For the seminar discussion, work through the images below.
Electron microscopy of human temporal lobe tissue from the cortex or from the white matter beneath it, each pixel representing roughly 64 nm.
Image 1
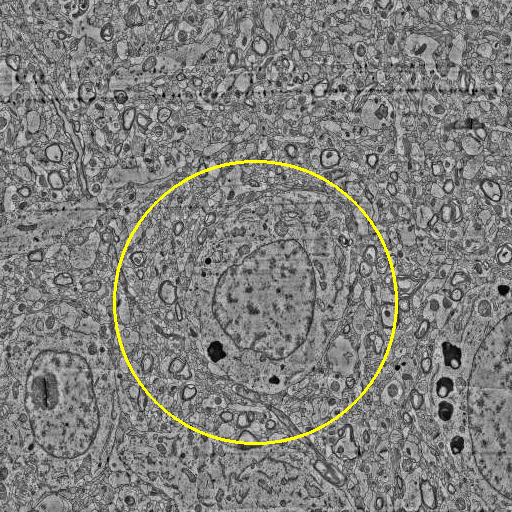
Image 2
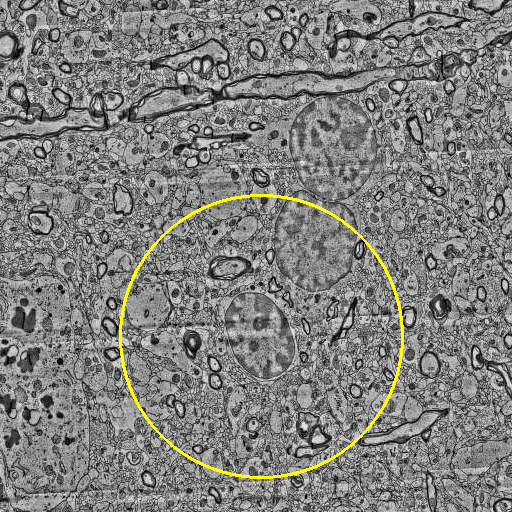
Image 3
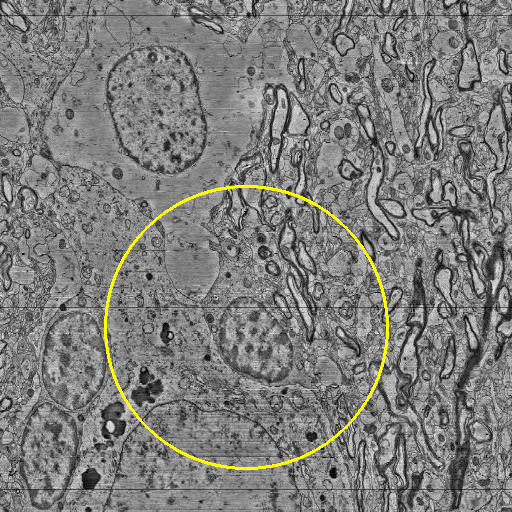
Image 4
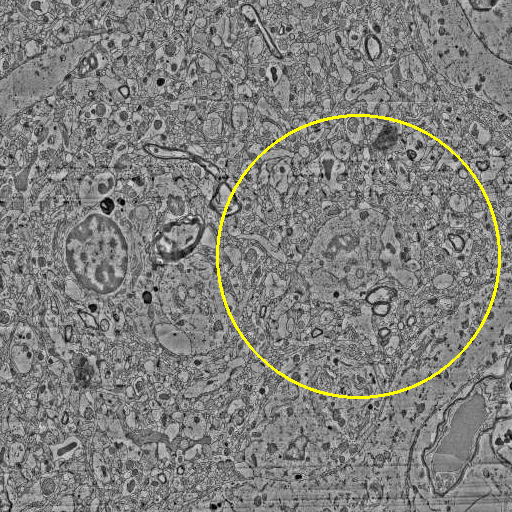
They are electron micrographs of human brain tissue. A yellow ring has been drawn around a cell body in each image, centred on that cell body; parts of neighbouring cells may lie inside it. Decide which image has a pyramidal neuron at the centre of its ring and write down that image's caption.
Image 1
